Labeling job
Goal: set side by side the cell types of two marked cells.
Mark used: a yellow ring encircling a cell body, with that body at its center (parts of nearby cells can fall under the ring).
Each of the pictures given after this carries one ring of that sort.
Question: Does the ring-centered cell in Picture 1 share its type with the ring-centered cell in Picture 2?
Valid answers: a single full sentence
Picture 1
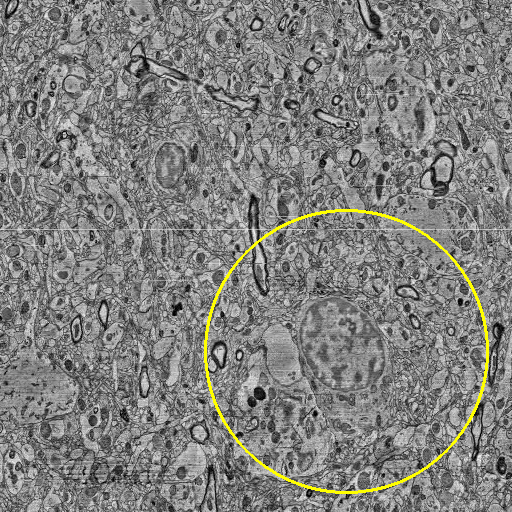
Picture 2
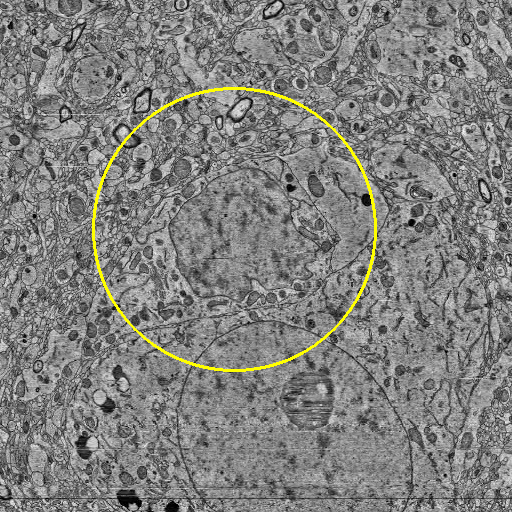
No, in Pictures 1 and 2 the cells at the ring centers have separate types.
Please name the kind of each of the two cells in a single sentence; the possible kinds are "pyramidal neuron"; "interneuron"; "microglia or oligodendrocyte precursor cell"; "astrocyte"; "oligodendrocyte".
In the first picture the ring is centred on an oligodendrocyte, and in the second on an interneuron.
